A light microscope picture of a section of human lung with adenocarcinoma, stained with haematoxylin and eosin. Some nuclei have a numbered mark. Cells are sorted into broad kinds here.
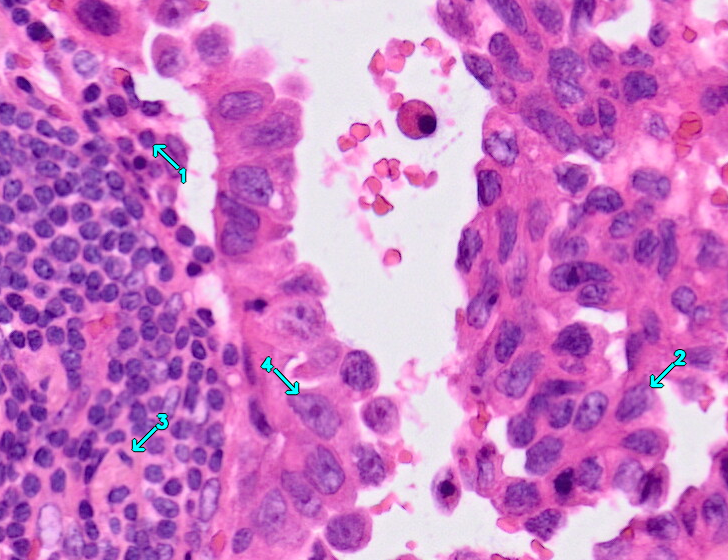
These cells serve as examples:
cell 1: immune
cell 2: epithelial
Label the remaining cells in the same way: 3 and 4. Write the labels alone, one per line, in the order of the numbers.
immune
epithelial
